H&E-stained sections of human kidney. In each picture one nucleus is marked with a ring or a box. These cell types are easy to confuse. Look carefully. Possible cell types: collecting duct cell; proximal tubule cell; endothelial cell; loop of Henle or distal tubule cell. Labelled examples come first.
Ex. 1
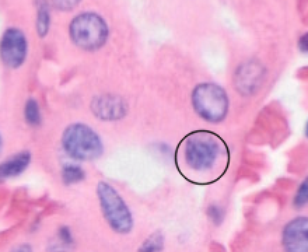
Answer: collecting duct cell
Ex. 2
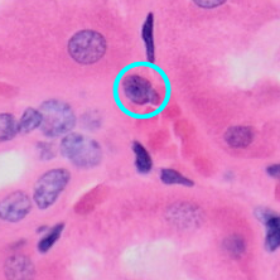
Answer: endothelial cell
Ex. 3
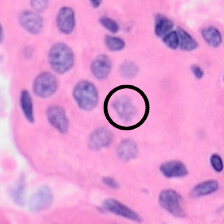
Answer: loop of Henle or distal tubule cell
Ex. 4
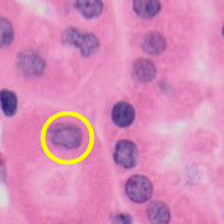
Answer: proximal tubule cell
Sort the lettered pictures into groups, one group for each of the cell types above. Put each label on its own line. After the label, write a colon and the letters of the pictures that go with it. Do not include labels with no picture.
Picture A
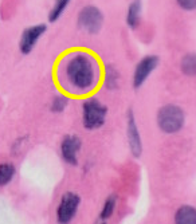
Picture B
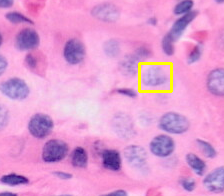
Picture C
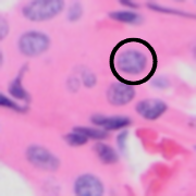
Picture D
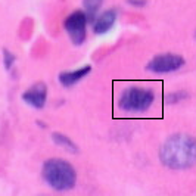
collecting duct cell: B
loop of Henle or distal tubule cell: A, C, D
